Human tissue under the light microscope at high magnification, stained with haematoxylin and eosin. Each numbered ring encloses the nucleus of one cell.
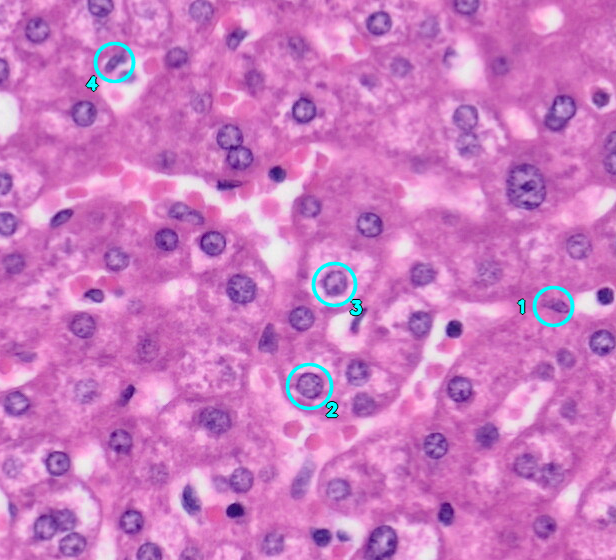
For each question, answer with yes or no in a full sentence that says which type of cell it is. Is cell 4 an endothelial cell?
Yes, that is so; number 4 marks an endothelial cell.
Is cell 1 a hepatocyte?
No, the cell at marker 1 is not a hepatocyte; it is a fibroblast or stellate cell.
